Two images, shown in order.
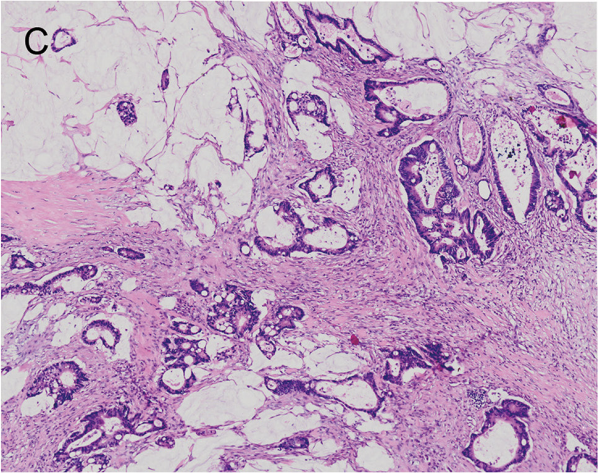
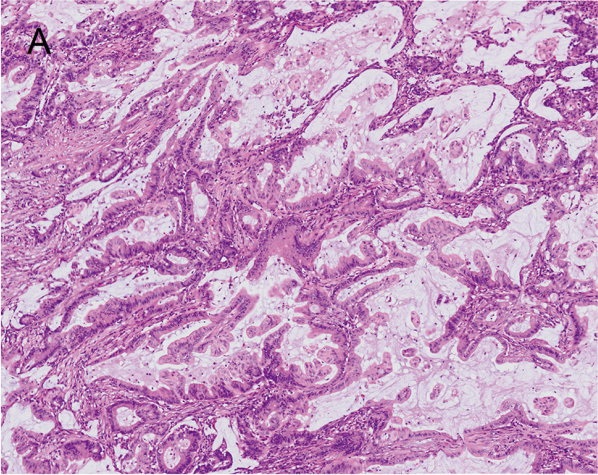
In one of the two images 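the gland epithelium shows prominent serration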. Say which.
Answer: The second image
